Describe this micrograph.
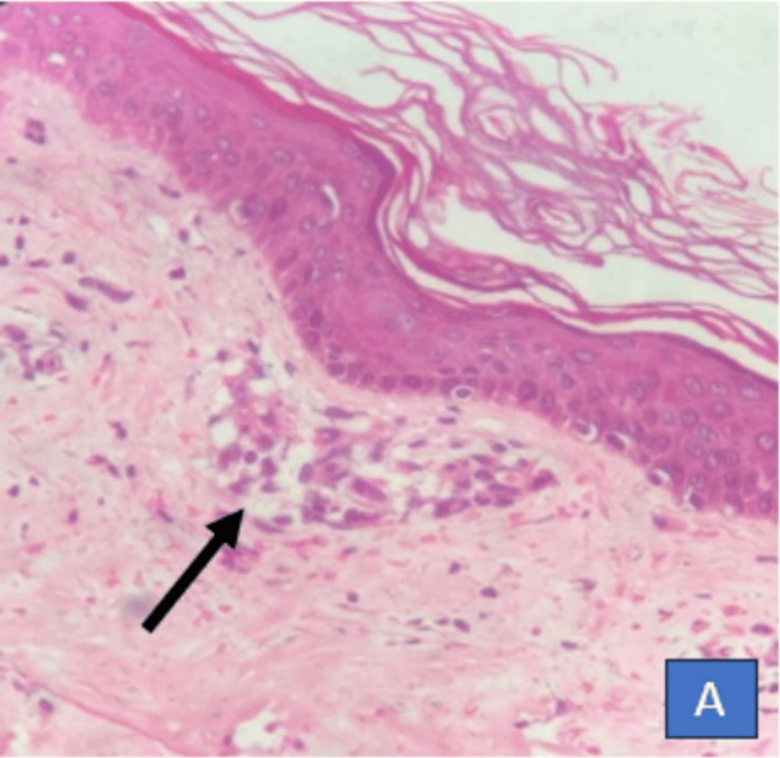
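Skin with a perivascular inflammatory infiltrate in the upper dermis. The epidermis is a stratified squamous epithelium of pink-staining keratinocytes with round nuclei, covered by loose, wavy layers of pink keratin. Beneath it the dermis is pale pink, loosely arranged collagen with scattered spindle-shaped nuclei. Just below the epidermis a cluster of small cells with dark, rounded nuclei lies among clear spaces, denser than the surrounding stroma. The stroma around the cluster looks loose and pale.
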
